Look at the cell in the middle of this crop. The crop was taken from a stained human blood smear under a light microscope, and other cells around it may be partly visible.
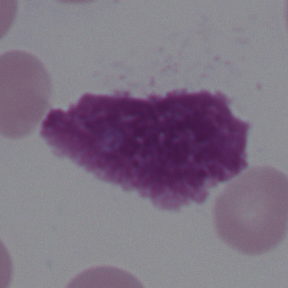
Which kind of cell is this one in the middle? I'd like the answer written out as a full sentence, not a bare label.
For this crop, the cell in the middle is a smudge cell.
